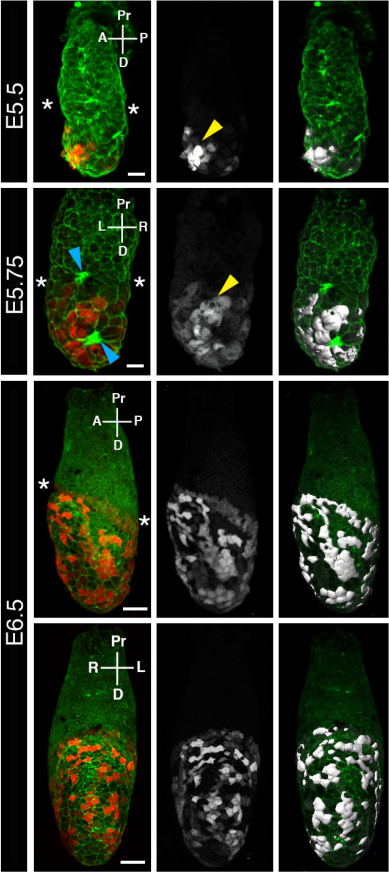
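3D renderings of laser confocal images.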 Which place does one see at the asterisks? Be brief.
Border of extra-embryonic and embryonic visceral endoderm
